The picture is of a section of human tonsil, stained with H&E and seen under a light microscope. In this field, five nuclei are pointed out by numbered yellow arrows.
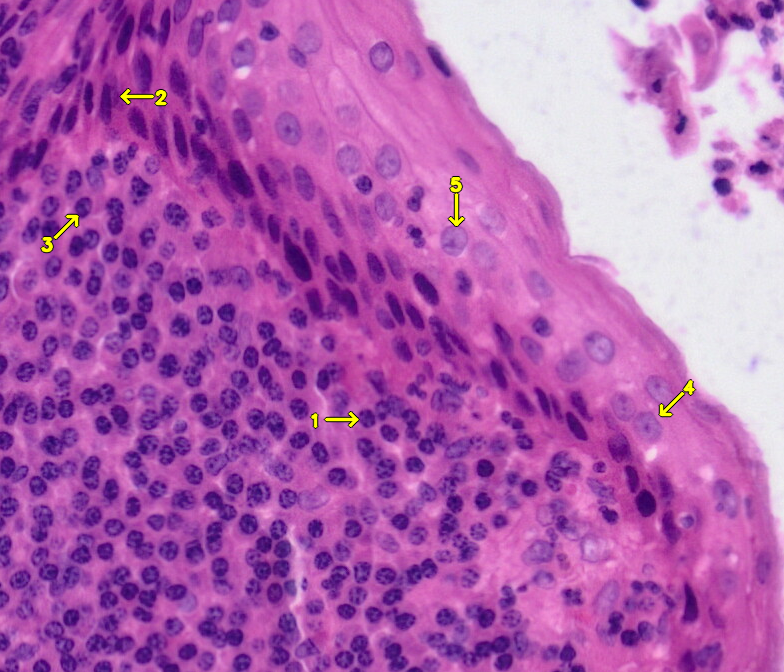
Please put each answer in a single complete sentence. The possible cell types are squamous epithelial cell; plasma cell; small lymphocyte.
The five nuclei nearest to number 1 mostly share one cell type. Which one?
Plasma cells account for more than half of the five nuclei nearest to number 1.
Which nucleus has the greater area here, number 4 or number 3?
The larger nucleus is 4, at roughly 2 times the area of 3.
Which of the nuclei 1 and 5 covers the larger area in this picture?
Nucleus 5 is larger, with an area about 2 times that of nucleus 1.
